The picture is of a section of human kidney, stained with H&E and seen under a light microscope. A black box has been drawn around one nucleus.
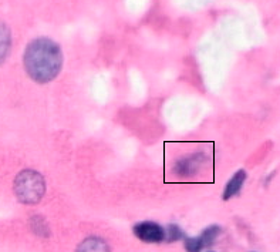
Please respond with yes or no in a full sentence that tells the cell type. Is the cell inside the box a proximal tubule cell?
Yes, the cell inside the box is properly regarded as a proximal tubule cell.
